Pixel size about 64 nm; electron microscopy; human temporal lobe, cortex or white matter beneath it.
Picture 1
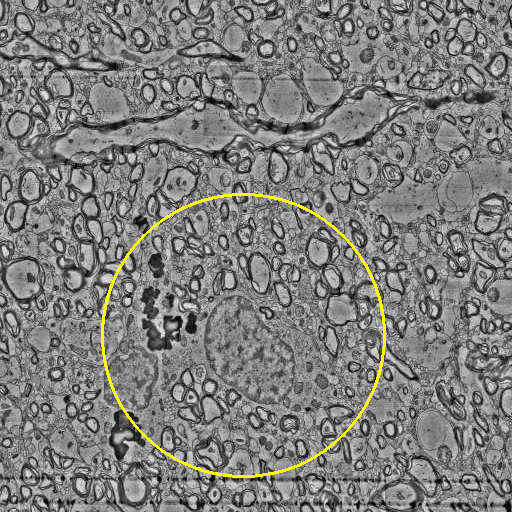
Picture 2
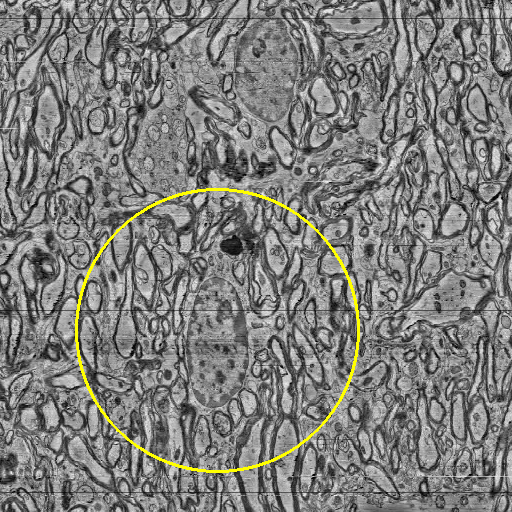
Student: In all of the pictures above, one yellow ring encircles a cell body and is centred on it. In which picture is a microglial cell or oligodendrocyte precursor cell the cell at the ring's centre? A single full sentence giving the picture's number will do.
Picture number 2 has the wanted cell right at the centre of its ring.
